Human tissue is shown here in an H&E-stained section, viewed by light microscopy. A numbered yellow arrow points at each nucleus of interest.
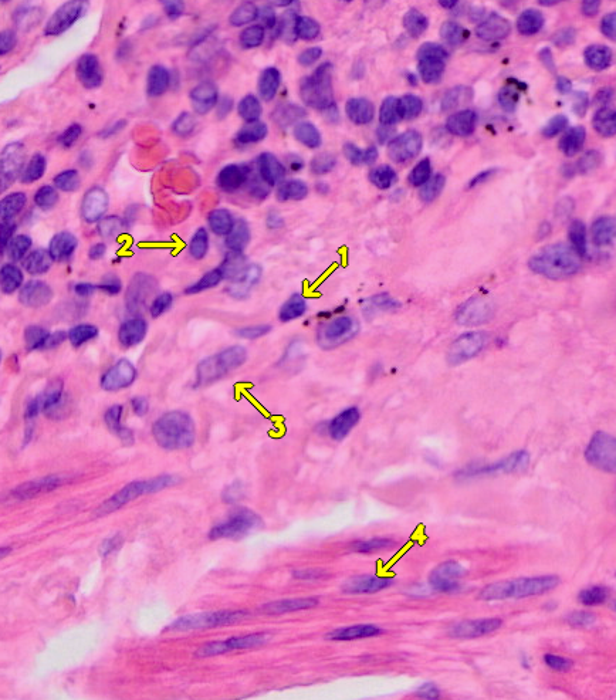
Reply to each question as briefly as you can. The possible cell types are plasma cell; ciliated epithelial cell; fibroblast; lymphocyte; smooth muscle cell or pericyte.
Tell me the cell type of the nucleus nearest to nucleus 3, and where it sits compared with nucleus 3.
a fibroblast above and to the right of nucleus 3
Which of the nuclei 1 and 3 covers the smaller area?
1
